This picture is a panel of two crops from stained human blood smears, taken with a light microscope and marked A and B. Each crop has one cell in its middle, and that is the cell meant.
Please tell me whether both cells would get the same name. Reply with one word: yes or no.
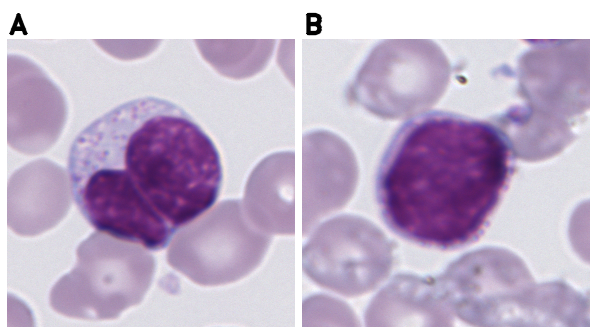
yes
